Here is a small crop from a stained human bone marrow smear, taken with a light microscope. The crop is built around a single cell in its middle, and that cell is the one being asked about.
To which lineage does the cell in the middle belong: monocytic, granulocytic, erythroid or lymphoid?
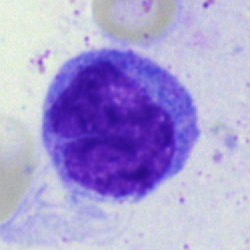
monocytic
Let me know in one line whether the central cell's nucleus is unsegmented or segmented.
See how the nucleus sits as one compact round, oval or kidney-shaped mass.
